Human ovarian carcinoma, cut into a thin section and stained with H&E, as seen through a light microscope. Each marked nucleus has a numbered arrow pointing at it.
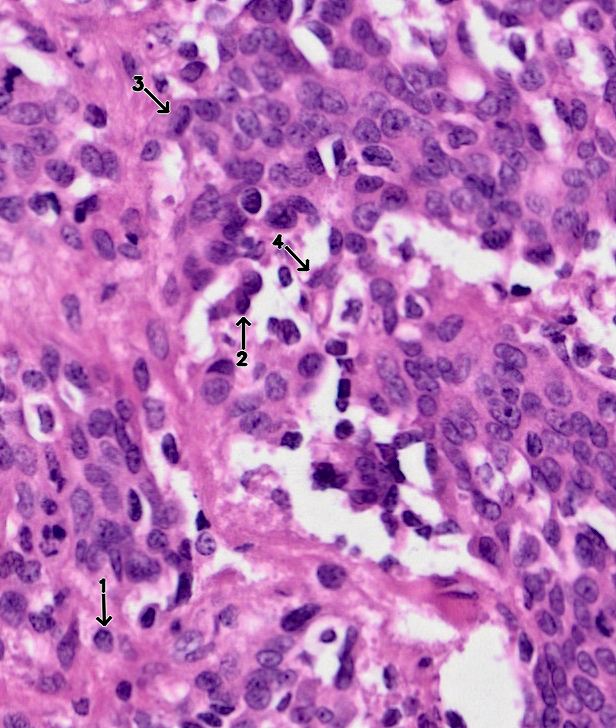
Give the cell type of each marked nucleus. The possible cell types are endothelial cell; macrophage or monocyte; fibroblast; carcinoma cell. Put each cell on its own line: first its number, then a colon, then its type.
1: macrophage or monocyte
2: carcinoma cell
3: carcinoma cell
4: carcinoma cell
